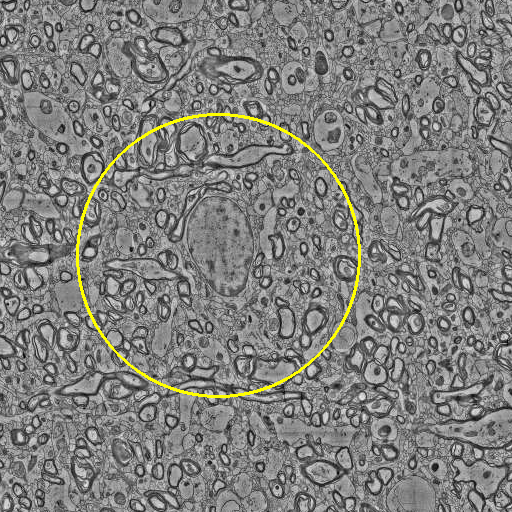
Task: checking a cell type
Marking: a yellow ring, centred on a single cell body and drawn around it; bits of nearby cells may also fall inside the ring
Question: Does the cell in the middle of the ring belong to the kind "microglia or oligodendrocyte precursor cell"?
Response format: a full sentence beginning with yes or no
Yes, the cell marked at the ring's centre in the picture is of that kind.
